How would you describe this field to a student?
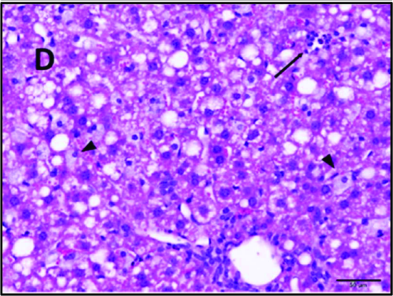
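Liver parenchyma with hepatocytes containing scattered round clear vacuoles of varying size throughout the field. Between the hepatocytes lie enlarged cells with pale, foamy cytoplasm, consistent with Kupffer cells. A small cluster of cells with dense dark nuclei sits among the hepatocytes, forming a focal inflammatory infiltrate. Further small dark nuclei gather near the vessels at the lower part of the field. Hepatocyte cytoplasm outside the vacuoles is pink and nuclei are round and purple.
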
